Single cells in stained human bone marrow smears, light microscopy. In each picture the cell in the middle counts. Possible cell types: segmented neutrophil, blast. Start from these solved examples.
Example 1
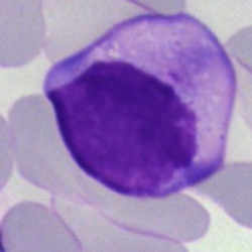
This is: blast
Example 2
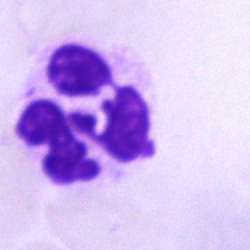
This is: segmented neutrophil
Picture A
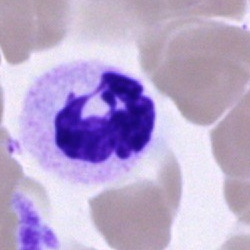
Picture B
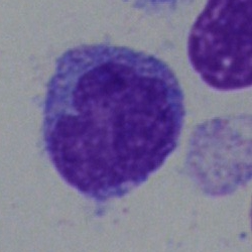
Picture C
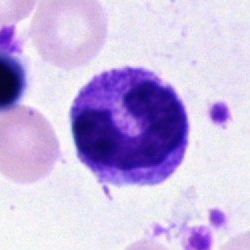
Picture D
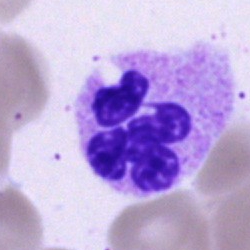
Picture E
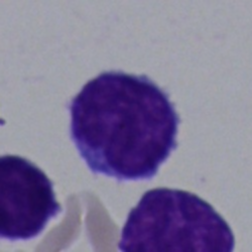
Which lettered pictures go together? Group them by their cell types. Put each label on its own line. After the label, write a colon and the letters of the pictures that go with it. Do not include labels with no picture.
segmented neutrophil: A, C, D
blast: B, E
